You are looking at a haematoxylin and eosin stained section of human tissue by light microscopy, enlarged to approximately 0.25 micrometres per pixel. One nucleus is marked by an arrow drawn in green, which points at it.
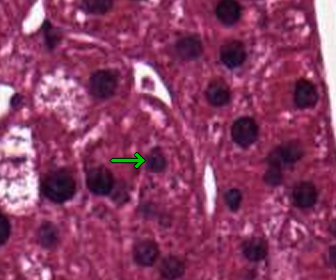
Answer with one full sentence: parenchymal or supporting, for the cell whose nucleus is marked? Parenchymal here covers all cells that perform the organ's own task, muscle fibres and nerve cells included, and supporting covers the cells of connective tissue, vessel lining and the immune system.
The cell bearing the marked nucleus is a parenchymal cell, namely an adrenal cortical cell.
